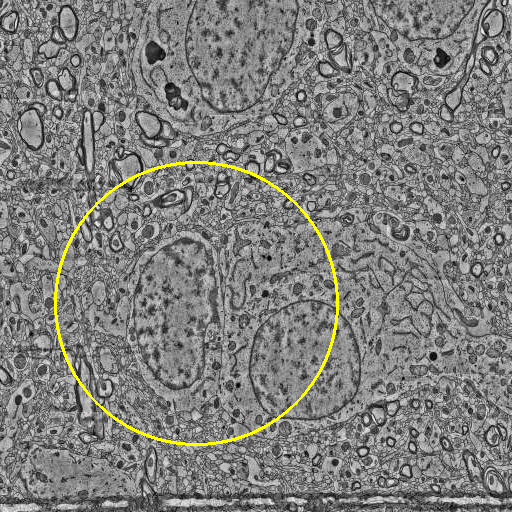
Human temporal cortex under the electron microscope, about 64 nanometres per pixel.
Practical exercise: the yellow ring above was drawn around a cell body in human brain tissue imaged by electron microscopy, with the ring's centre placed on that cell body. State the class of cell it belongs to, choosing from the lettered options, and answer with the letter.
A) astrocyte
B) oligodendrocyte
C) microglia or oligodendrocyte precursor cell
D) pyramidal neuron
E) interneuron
E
